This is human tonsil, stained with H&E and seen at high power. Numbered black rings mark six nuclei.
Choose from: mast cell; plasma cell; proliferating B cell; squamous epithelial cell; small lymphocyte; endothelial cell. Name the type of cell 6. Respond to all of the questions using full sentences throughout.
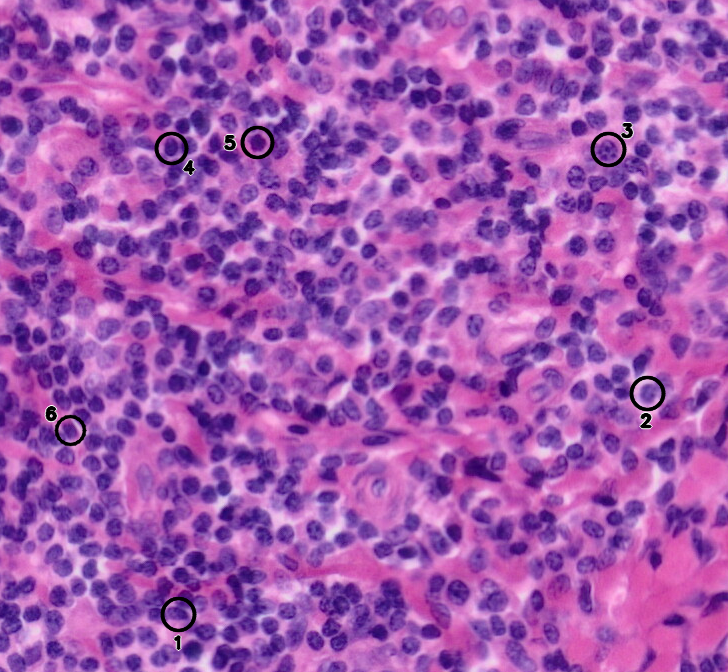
The cell referred to as 6 is a small lymphocyte.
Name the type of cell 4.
The correct answer for cell 4 is a small lymphocyte.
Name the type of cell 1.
Belonging to a small lymphocyte is the nucleus that carries the number 1.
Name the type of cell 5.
Belonging to a small lymphocyte is the nucleus that carries the number 5.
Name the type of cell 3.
Identified as a plasma cell is the cell bearing the number 3.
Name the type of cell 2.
The nucleus marked 2 is the nucleus of a mast cell.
